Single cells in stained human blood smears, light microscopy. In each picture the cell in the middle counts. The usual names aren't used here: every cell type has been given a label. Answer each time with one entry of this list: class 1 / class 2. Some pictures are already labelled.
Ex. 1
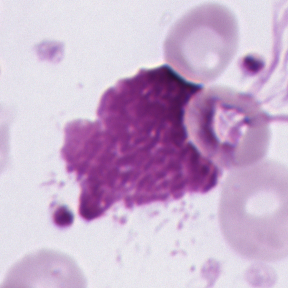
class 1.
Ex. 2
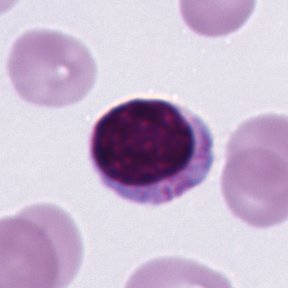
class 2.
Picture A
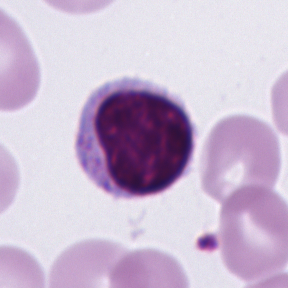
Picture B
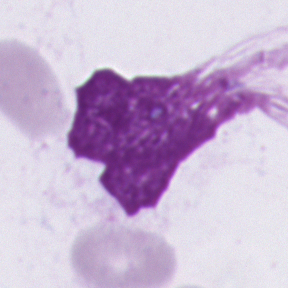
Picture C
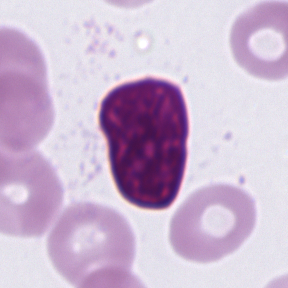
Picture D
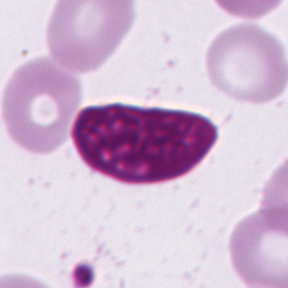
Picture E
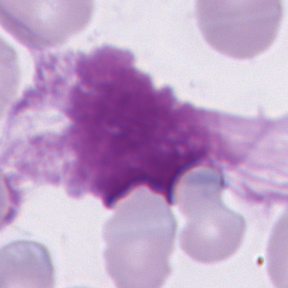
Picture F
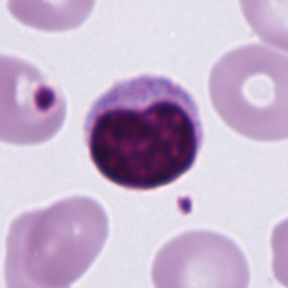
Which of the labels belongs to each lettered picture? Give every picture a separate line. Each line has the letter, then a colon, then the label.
A: class 2.
B: class 1.
C: class 1.
D: class 1.
E: class 1.
F: class 2.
